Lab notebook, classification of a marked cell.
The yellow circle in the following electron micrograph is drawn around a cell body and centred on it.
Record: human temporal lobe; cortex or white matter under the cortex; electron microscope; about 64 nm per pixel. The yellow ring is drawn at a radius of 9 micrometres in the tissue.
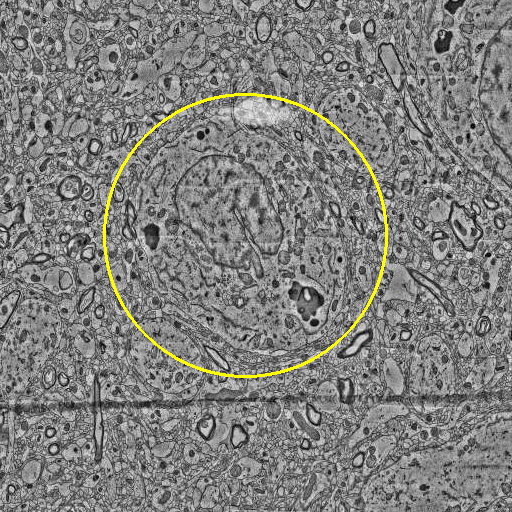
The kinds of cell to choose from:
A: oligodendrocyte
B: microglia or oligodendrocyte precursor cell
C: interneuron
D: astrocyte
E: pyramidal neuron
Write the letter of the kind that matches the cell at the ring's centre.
C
